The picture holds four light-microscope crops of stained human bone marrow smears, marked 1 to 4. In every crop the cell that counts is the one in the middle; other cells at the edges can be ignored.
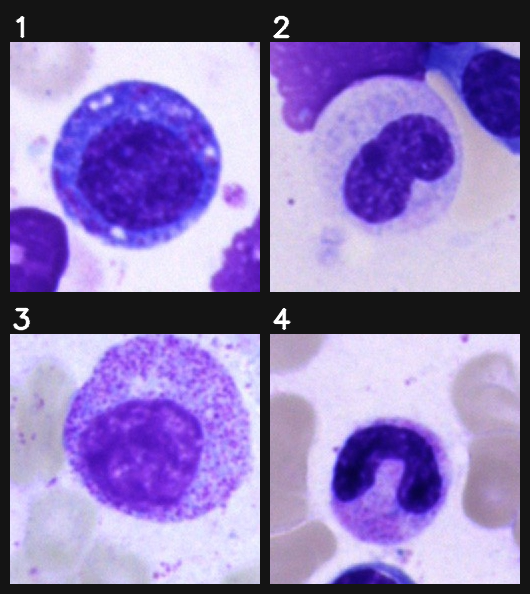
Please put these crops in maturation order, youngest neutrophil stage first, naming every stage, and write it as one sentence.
The proper maturity order, starting from the least mature, is crop 1 (a promyelocyte), crop 3 (a myelocyte), crop 2 (a metamyelocyte) and crop 4 (a band neutrophil).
